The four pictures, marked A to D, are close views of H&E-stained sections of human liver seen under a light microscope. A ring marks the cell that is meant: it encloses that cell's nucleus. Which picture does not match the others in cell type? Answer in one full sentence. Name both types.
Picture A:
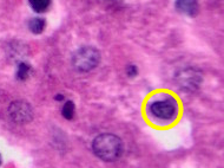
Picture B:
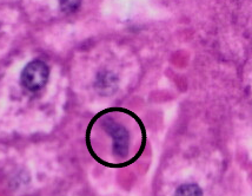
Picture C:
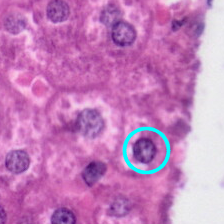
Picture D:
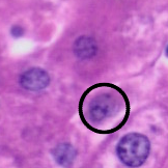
The others show Kupffer cells, but picture C shows a hepatocyte.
